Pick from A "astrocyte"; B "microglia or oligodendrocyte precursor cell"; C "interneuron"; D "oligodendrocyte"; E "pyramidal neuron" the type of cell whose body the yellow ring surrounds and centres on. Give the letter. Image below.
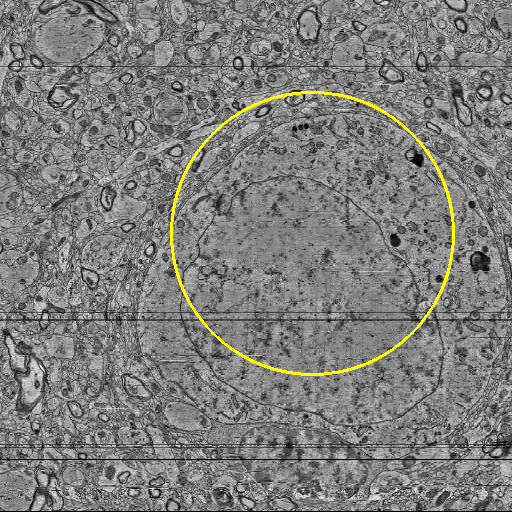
E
